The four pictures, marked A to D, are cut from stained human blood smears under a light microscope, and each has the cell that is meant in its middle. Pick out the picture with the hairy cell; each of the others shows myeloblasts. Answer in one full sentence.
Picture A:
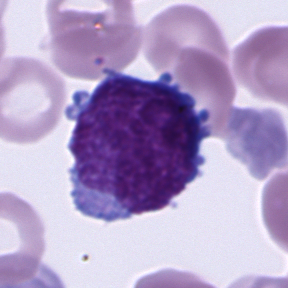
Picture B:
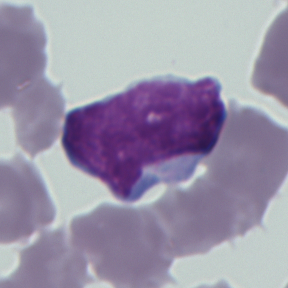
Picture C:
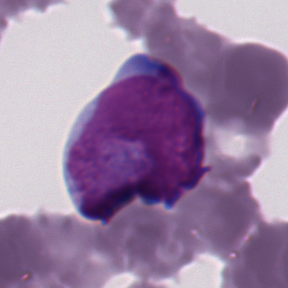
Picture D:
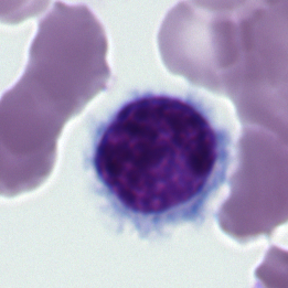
The picture with the hairy cell is D.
